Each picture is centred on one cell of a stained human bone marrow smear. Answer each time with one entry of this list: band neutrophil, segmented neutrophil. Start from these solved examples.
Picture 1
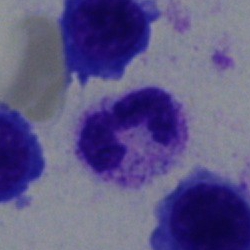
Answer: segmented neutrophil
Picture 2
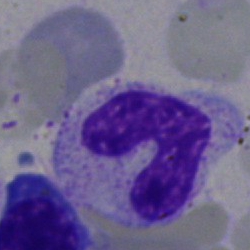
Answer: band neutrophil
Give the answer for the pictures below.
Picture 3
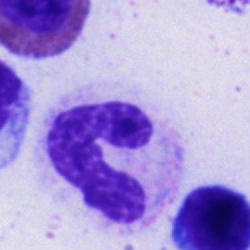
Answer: band neutrophil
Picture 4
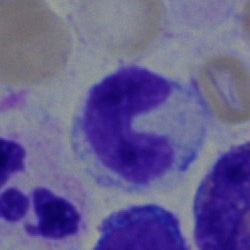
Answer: band neutrophil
